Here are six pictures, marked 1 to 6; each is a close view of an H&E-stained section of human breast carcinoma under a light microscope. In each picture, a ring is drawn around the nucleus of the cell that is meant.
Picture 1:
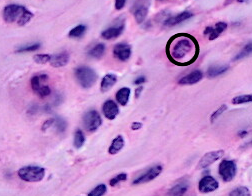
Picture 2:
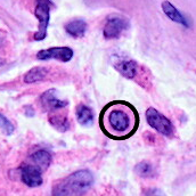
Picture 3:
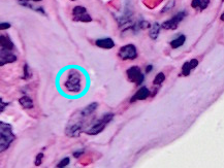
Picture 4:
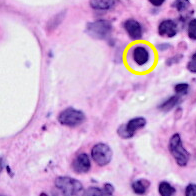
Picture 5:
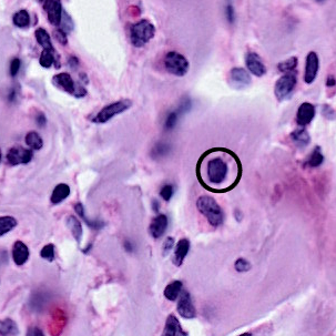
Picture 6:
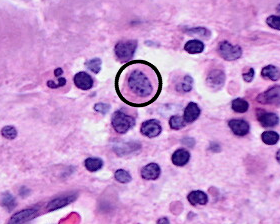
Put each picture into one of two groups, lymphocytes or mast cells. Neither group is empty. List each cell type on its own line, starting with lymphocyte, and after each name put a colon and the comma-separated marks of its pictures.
lymphocyte: 4, 5
mast cell: 1, 2, 3, 6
